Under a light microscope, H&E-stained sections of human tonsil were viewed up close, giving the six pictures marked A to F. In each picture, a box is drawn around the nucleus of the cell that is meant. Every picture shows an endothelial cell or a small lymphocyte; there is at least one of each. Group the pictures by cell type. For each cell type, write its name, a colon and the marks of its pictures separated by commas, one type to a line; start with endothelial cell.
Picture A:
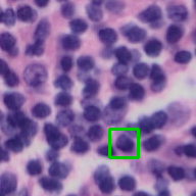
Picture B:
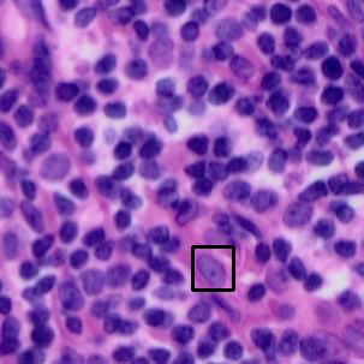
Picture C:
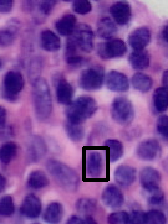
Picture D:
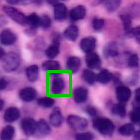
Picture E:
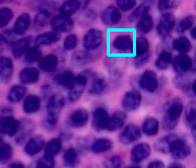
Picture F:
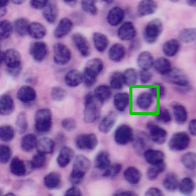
endothelial cell: B, C
small lymphocyte: A, D, E, F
